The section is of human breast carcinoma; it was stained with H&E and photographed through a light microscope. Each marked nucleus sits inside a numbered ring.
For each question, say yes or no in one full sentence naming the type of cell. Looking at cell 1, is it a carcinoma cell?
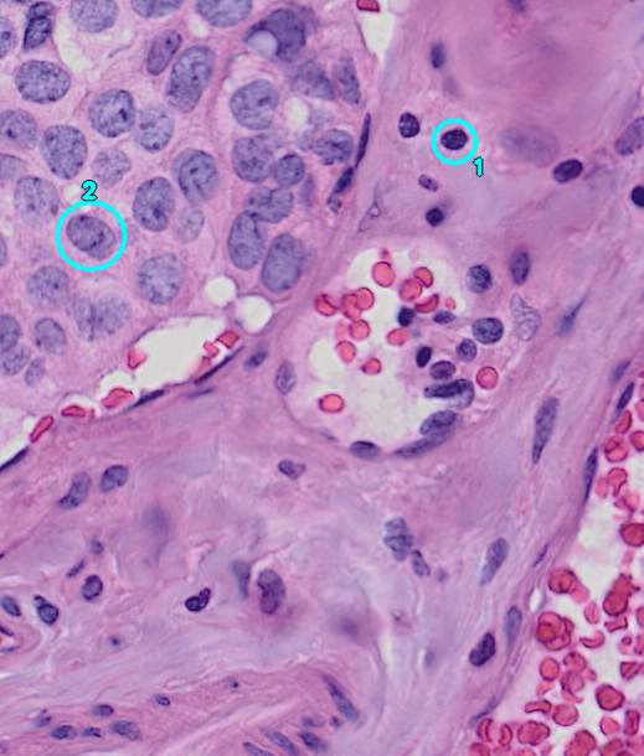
No, cell 1 is a lymphocyte; it is not a carcinoma cell.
